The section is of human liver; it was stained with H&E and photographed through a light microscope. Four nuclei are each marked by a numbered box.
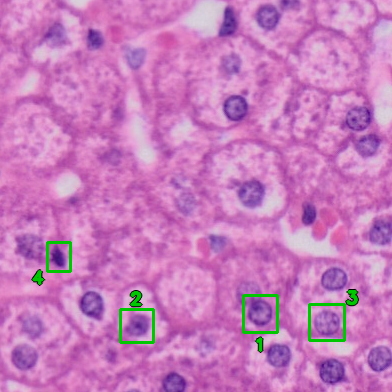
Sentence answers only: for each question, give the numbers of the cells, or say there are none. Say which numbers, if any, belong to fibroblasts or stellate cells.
Cell 4 is the only one of the numbered cells that is a fibroblast or stellate cell.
